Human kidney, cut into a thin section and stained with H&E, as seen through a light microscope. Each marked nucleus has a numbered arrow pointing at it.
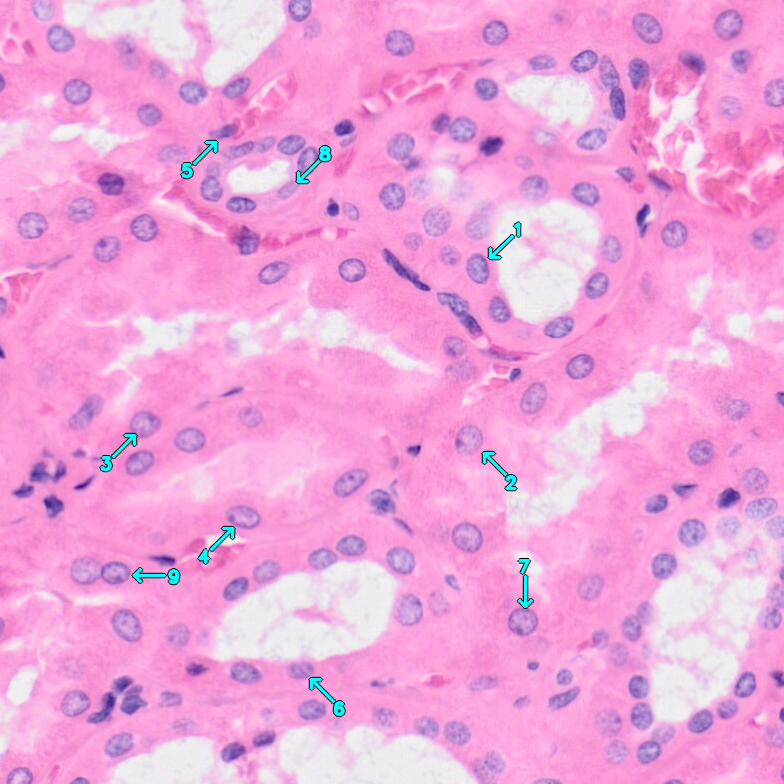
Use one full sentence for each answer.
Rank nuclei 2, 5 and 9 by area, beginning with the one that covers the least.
By area, going up from the smallest, they rank 5, 9, 2.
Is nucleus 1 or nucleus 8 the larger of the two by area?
Nucleus 1 covers more area, about 2 times as much as nucleus 8.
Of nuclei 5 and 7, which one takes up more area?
Of the two, number 7 is bigger and takes up about 2 times the area of number 5.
